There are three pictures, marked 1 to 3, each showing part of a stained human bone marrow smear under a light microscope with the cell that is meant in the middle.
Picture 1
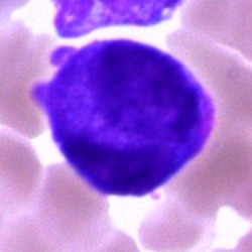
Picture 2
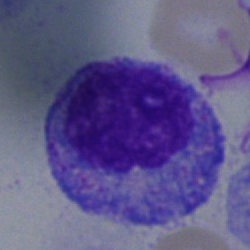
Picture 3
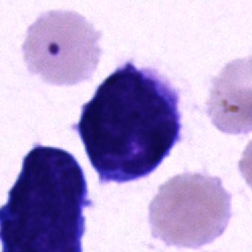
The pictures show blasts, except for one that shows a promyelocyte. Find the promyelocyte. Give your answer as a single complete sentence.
It is picture 2 that shows the promyelocyte.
